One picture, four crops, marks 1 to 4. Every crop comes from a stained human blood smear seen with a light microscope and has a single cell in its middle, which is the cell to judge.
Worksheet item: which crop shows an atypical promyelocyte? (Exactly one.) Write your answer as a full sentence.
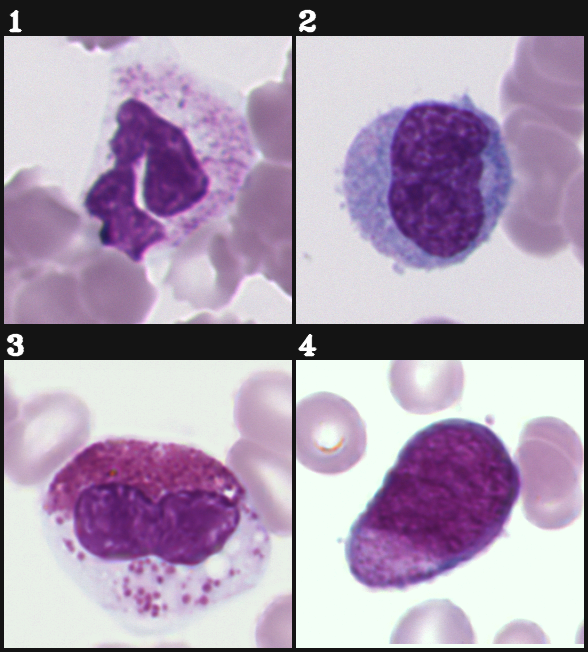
It is crop 4, not any other, that shows an atypical promyelocyte.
